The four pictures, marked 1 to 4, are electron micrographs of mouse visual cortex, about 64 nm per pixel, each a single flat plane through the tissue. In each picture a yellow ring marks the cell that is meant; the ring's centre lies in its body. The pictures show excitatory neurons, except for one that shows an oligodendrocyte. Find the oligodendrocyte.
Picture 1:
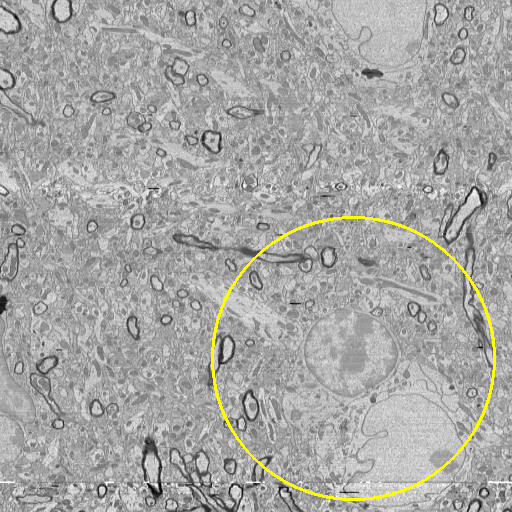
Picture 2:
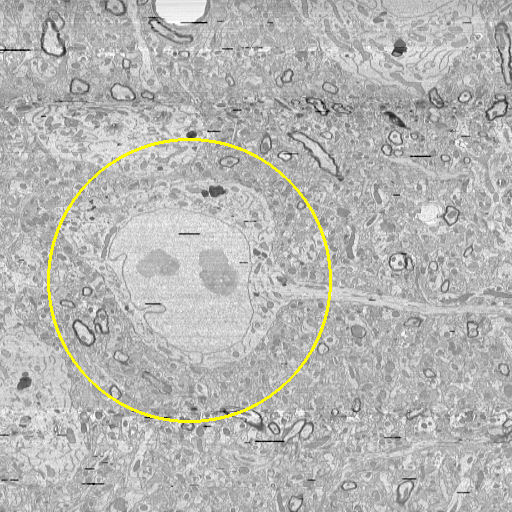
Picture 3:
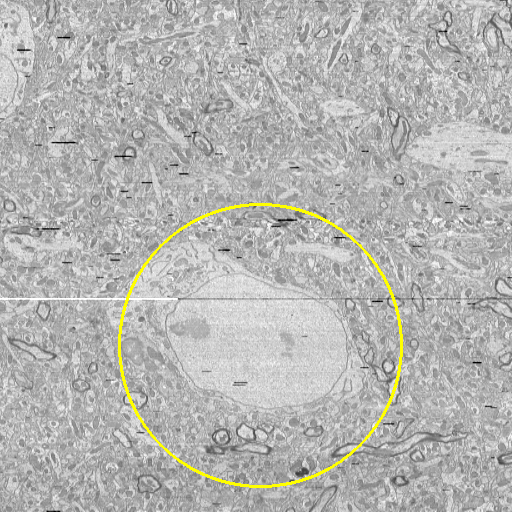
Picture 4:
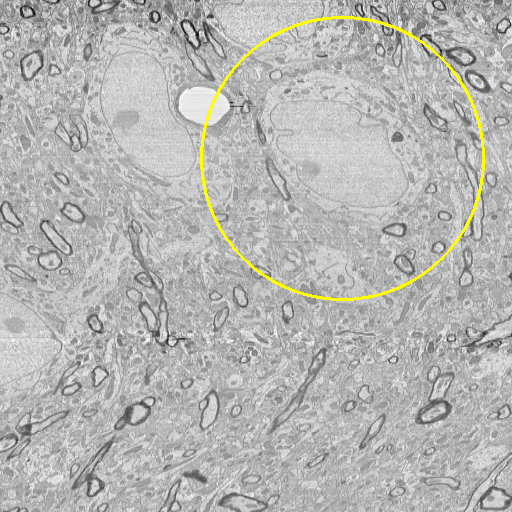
Picture 1 shows the oligodendrocyte.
